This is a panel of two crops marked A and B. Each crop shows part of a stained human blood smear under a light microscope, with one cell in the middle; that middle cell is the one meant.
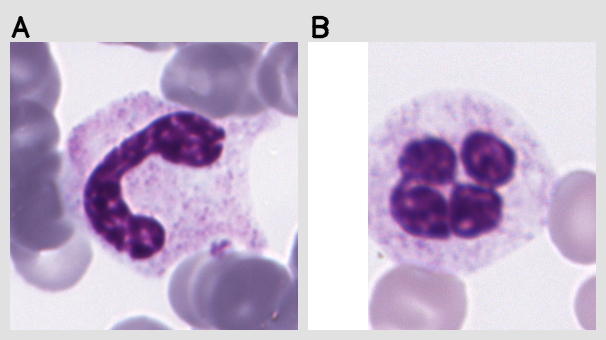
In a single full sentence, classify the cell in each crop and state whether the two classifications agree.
Yes, the centre of both crops is taken up by segmented neutrophils.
